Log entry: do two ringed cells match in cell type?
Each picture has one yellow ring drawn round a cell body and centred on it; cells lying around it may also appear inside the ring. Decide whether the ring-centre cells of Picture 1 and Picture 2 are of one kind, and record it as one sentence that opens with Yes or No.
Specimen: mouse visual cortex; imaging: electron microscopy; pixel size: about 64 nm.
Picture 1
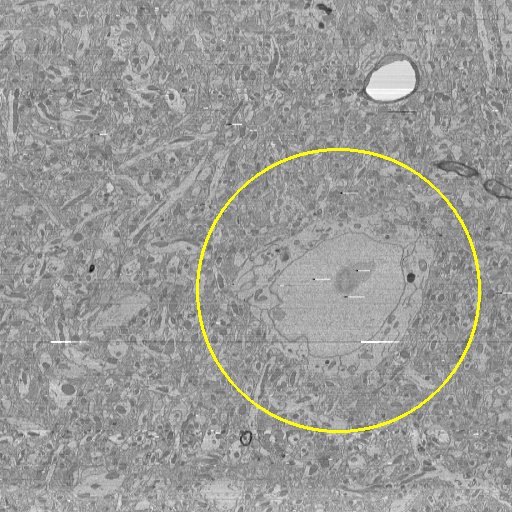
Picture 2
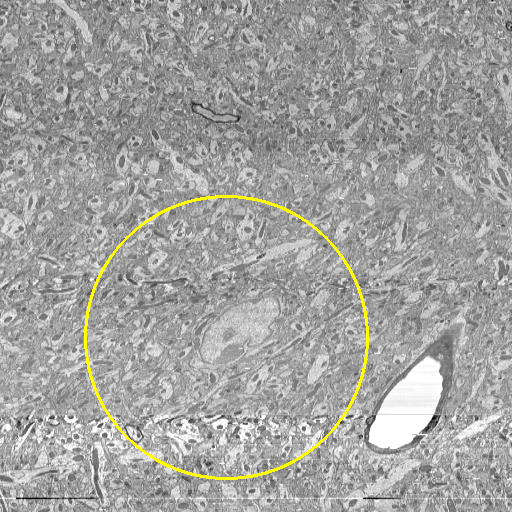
No, the cells at the ring centres of the two pictures belong to two kinds.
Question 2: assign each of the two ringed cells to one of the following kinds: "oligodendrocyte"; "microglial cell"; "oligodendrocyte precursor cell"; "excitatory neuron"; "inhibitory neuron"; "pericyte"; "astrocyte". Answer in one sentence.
The two cells are an excitatory neuron in the first picture and an astrocyte in the second.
